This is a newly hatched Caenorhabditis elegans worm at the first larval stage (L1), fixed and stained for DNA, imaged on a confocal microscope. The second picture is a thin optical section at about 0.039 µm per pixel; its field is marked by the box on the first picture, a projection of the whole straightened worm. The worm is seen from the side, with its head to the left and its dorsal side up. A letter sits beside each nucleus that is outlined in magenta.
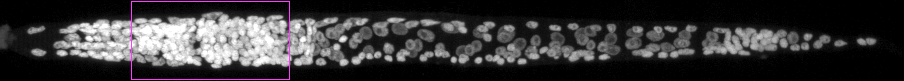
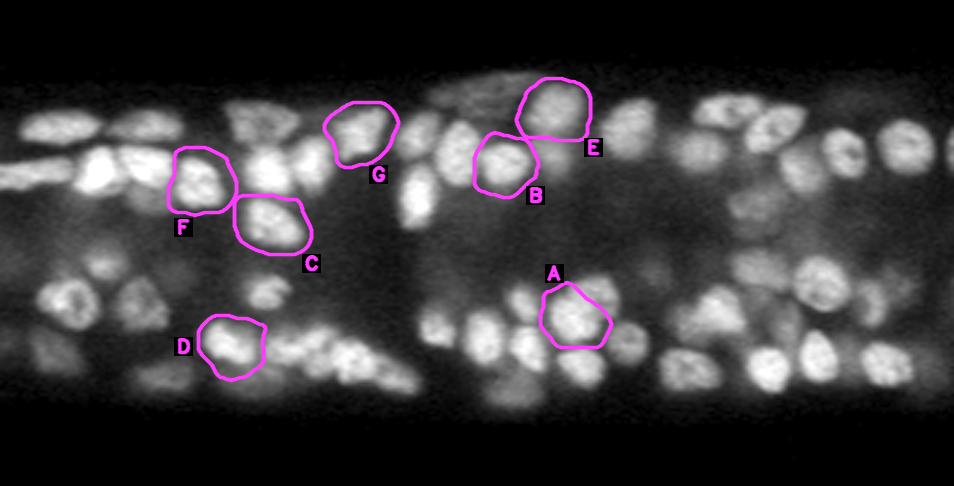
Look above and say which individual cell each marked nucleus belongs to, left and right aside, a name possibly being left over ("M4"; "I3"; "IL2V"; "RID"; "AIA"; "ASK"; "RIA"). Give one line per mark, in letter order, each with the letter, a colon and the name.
A: AIA
B: RIA
C: M4
D: IL2V
E: ASK
F: I3
G: RID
